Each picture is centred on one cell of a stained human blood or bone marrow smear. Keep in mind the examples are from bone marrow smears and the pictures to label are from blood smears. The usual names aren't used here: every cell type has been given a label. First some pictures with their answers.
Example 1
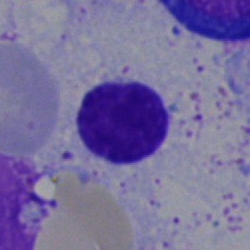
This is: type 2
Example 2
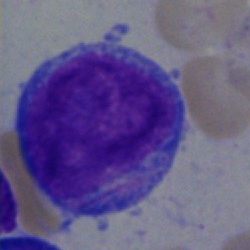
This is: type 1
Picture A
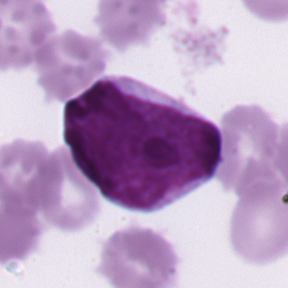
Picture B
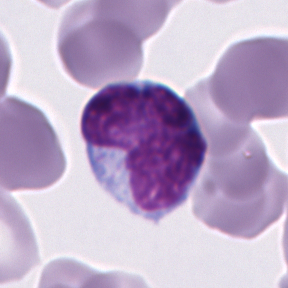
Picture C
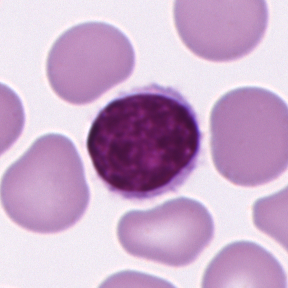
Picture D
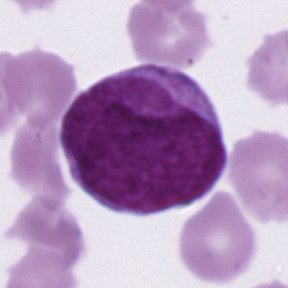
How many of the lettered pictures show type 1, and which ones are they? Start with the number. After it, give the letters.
2: A, D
